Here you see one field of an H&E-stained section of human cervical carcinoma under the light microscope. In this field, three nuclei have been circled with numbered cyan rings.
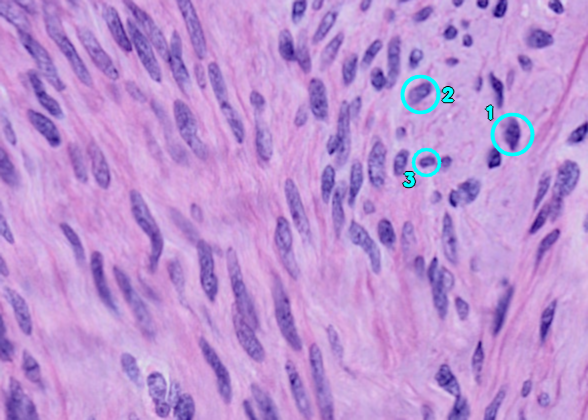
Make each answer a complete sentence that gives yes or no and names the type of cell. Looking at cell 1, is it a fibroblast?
Yes, the cell marked by the number 1 is a fibroblast.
